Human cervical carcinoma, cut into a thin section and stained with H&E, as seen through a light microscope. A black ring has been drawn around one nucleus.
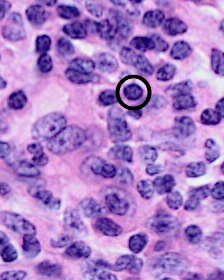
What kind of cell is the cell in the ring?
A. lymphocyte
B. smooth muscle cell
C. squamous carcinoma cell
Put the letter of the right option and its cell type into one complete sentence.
In the section, the cell in the ring is a lymphocyte, and option A is correct accordingly.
